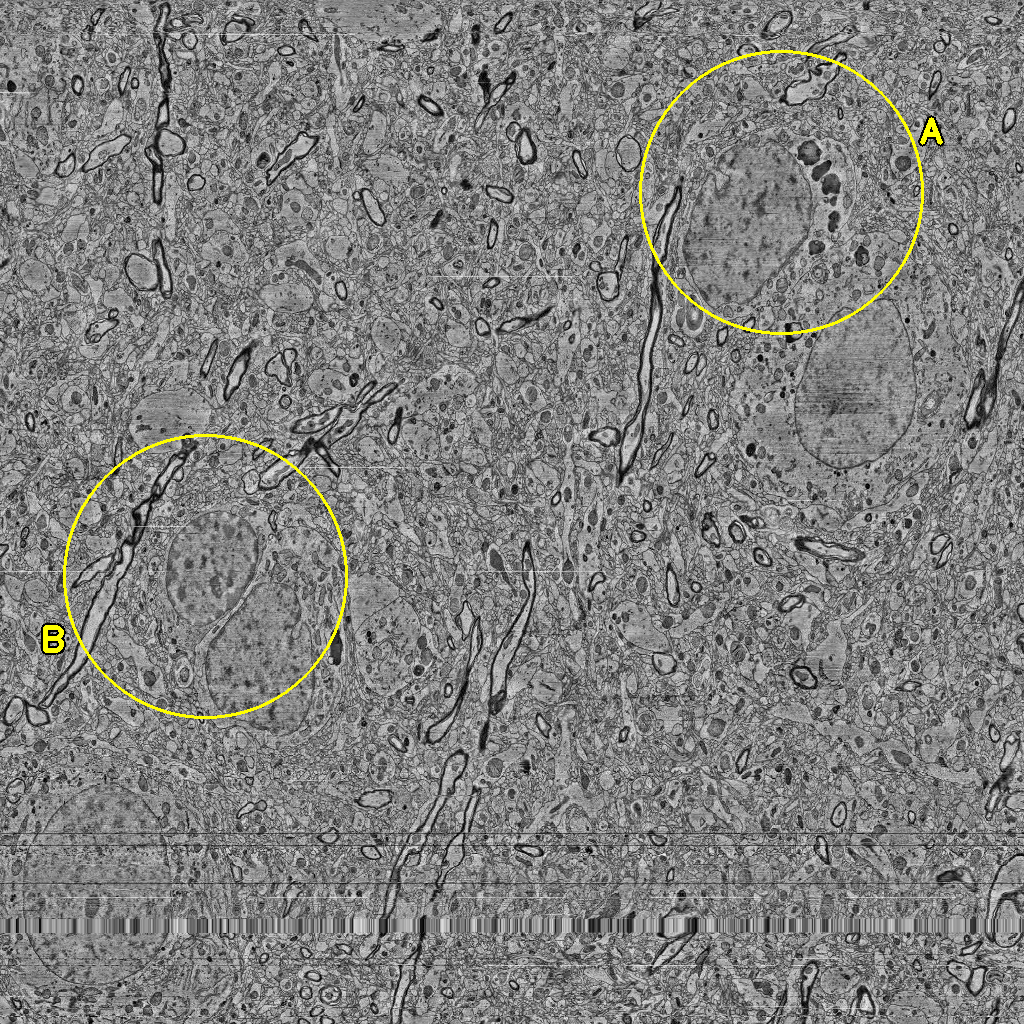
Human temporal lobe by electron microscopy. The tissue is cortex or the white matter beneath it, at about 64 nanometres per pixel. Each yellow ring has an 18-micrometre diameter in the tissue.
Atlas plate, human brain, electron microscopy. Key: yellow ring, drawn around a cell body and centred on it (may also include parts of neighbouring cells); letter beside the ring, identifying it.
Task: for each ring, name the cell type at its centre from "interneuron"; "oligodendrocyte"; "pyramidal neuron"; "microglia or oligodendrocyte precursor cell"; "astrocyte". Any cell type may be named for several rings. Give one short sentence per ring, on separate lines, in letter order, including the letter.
Ring A is centred over an interneuron.
Ring B is centred over an oligodendrocyte.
